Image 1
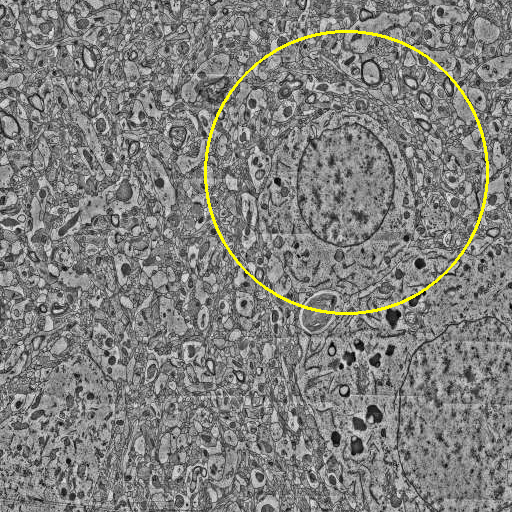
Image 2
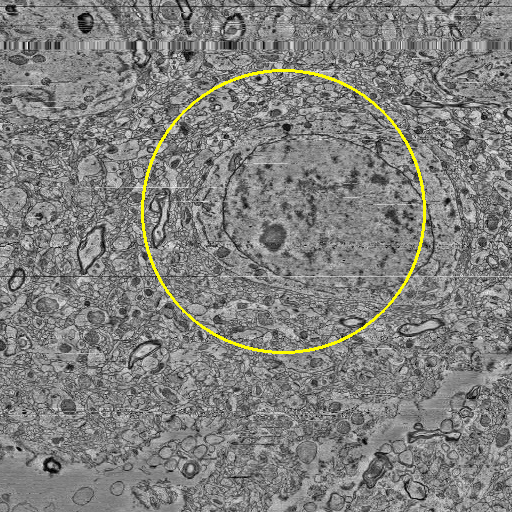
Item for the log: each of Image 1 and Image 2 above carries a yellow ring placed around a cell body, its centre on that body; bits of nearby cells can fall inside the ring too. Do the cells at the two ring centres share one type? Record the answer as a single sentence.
Yes, the two cells at the ring centres in Image 1 and Image 2 share one type.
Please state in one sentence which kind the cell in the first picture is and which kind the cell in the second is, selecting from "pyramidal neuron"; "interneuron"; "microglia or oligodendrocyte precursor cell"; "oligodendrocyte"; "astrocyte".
Both the first and the second picture show a pyramidal neuron in the ring.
